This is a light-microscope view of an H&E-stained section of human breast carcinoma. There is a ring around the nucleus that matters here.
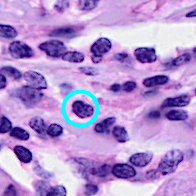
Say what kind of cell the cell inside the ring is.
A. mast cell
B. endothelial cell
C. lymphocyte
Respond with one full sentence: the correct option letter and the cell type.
In this item, the cell inside the ring is a lymphocyte, and option C is right.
